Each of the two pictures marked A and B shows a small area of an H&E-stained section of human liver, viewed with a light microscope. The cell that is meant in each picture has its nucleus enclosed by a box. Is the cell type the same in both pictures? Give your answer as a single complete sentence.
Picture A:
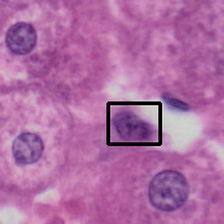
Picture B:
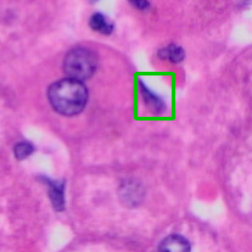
No, picture A shows a Kupffer cell and picture B shows an endothelial cell.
